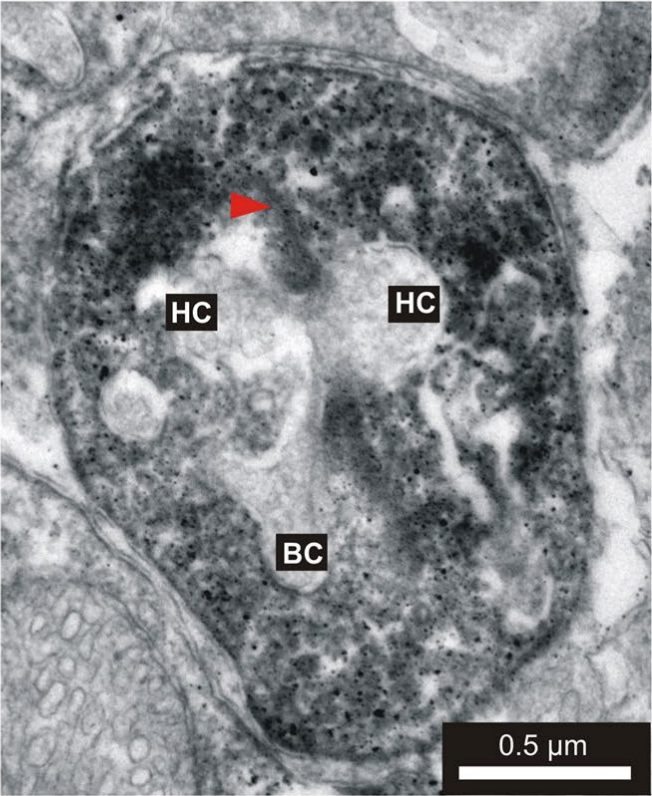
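A photoreceptor presynaptic terminal in the outer plexiform layer of the retina fills most of the field as a large rounded profile bounded by a membrane. Its cytoplasm is dark and densely dotted with small black particles. Into its base several pale processes are invaginated: two lateral ones and a central one between them. A dense band, the synaptic ribbon, lies at the apex of the invagination just above the pale processes. The invaginating processes are pale and nearly free of particles. Outside the terminal lie other pale profiles of neighbouring processes.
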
